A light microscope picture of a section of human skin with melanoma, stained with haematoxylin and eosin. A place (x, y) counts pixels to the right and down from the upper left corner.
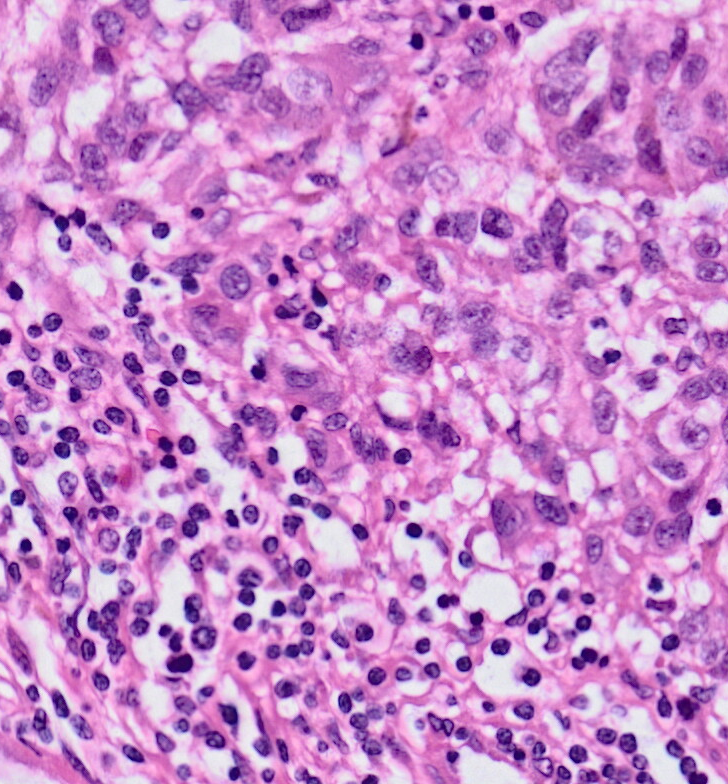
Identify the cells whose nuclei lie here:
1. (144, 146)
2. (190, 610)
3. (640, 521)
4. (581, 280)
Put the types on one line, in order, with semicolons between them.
melanoma cell; lymphocyte; melanoma cell; melanoma cell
